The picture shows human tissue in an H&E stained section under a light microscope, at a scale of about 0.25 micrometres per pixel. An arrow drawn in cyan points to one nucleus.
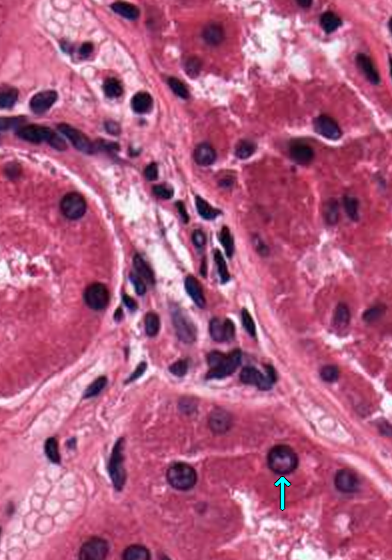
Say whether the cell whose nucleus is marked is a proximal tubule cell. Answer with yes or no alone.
yes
